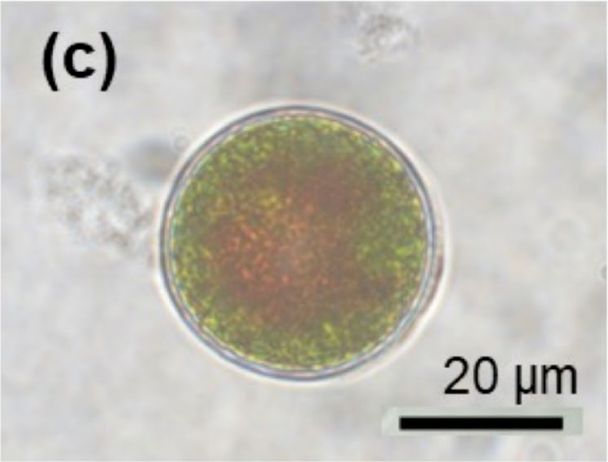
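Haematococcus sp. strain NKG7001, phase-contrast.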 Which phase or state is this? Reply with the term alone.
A: Intermediate cell.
